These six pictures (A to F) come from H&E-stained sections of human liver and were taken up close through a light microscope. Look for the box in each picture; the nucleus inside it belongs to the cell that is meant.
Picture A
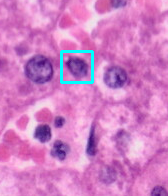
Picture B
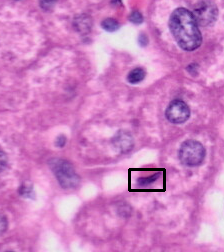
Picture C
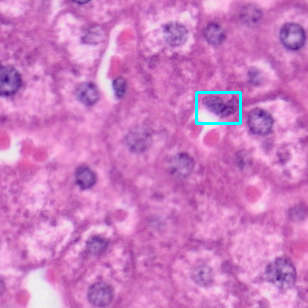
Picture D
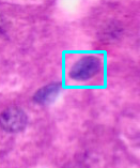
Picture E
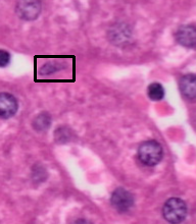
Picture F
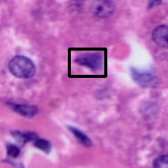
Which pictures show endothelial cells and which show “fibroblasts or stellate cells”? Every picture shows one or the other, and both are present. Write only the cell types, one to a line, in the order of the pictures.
fibroblast or stellate cell
endothelial cell
endothelial cell
endothelial cell
fibroblast or stellate cell
fibroblast or stellate cell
